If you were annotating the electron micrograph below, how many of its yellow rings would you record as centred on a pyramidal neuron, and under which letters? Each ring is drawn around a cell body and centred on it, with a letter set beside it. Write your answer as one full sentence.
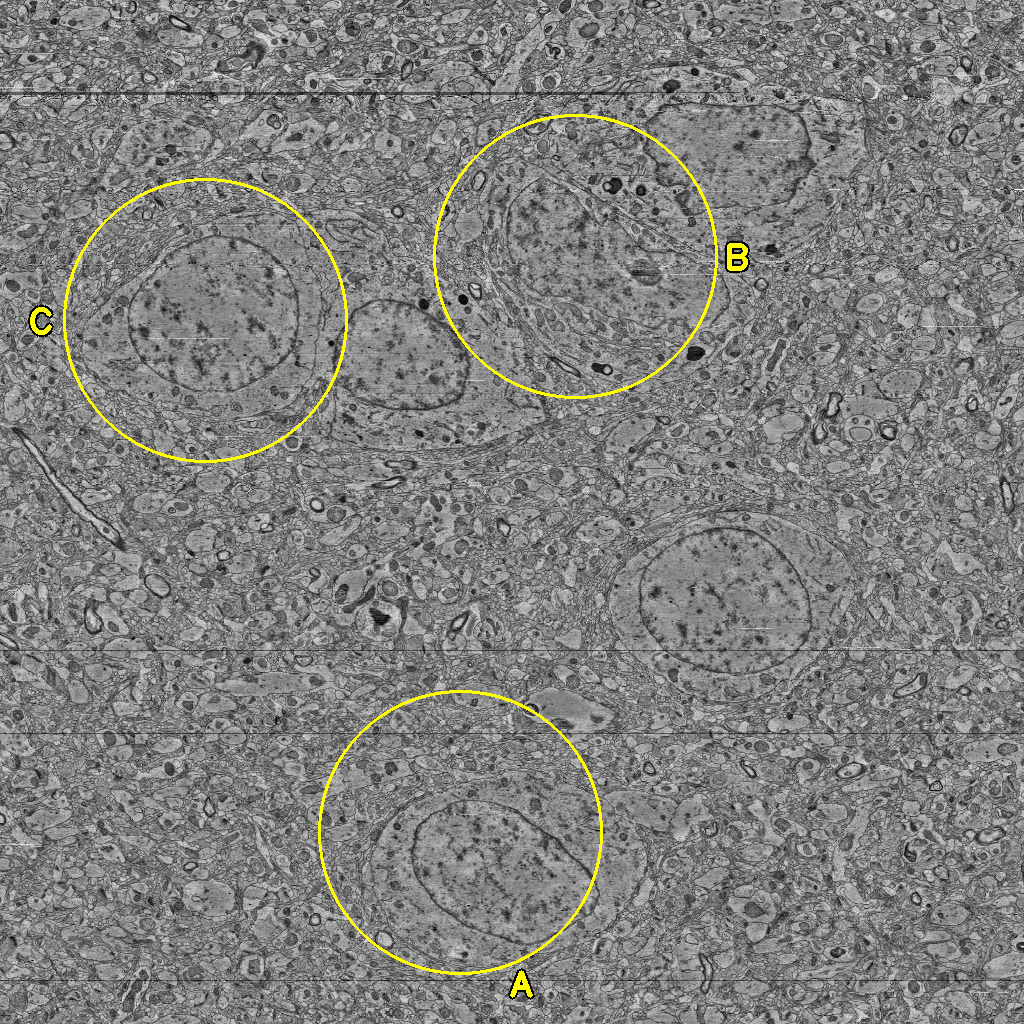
As for the rings with the letters A and C, there are two, each centred on a pyramidal neuron.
